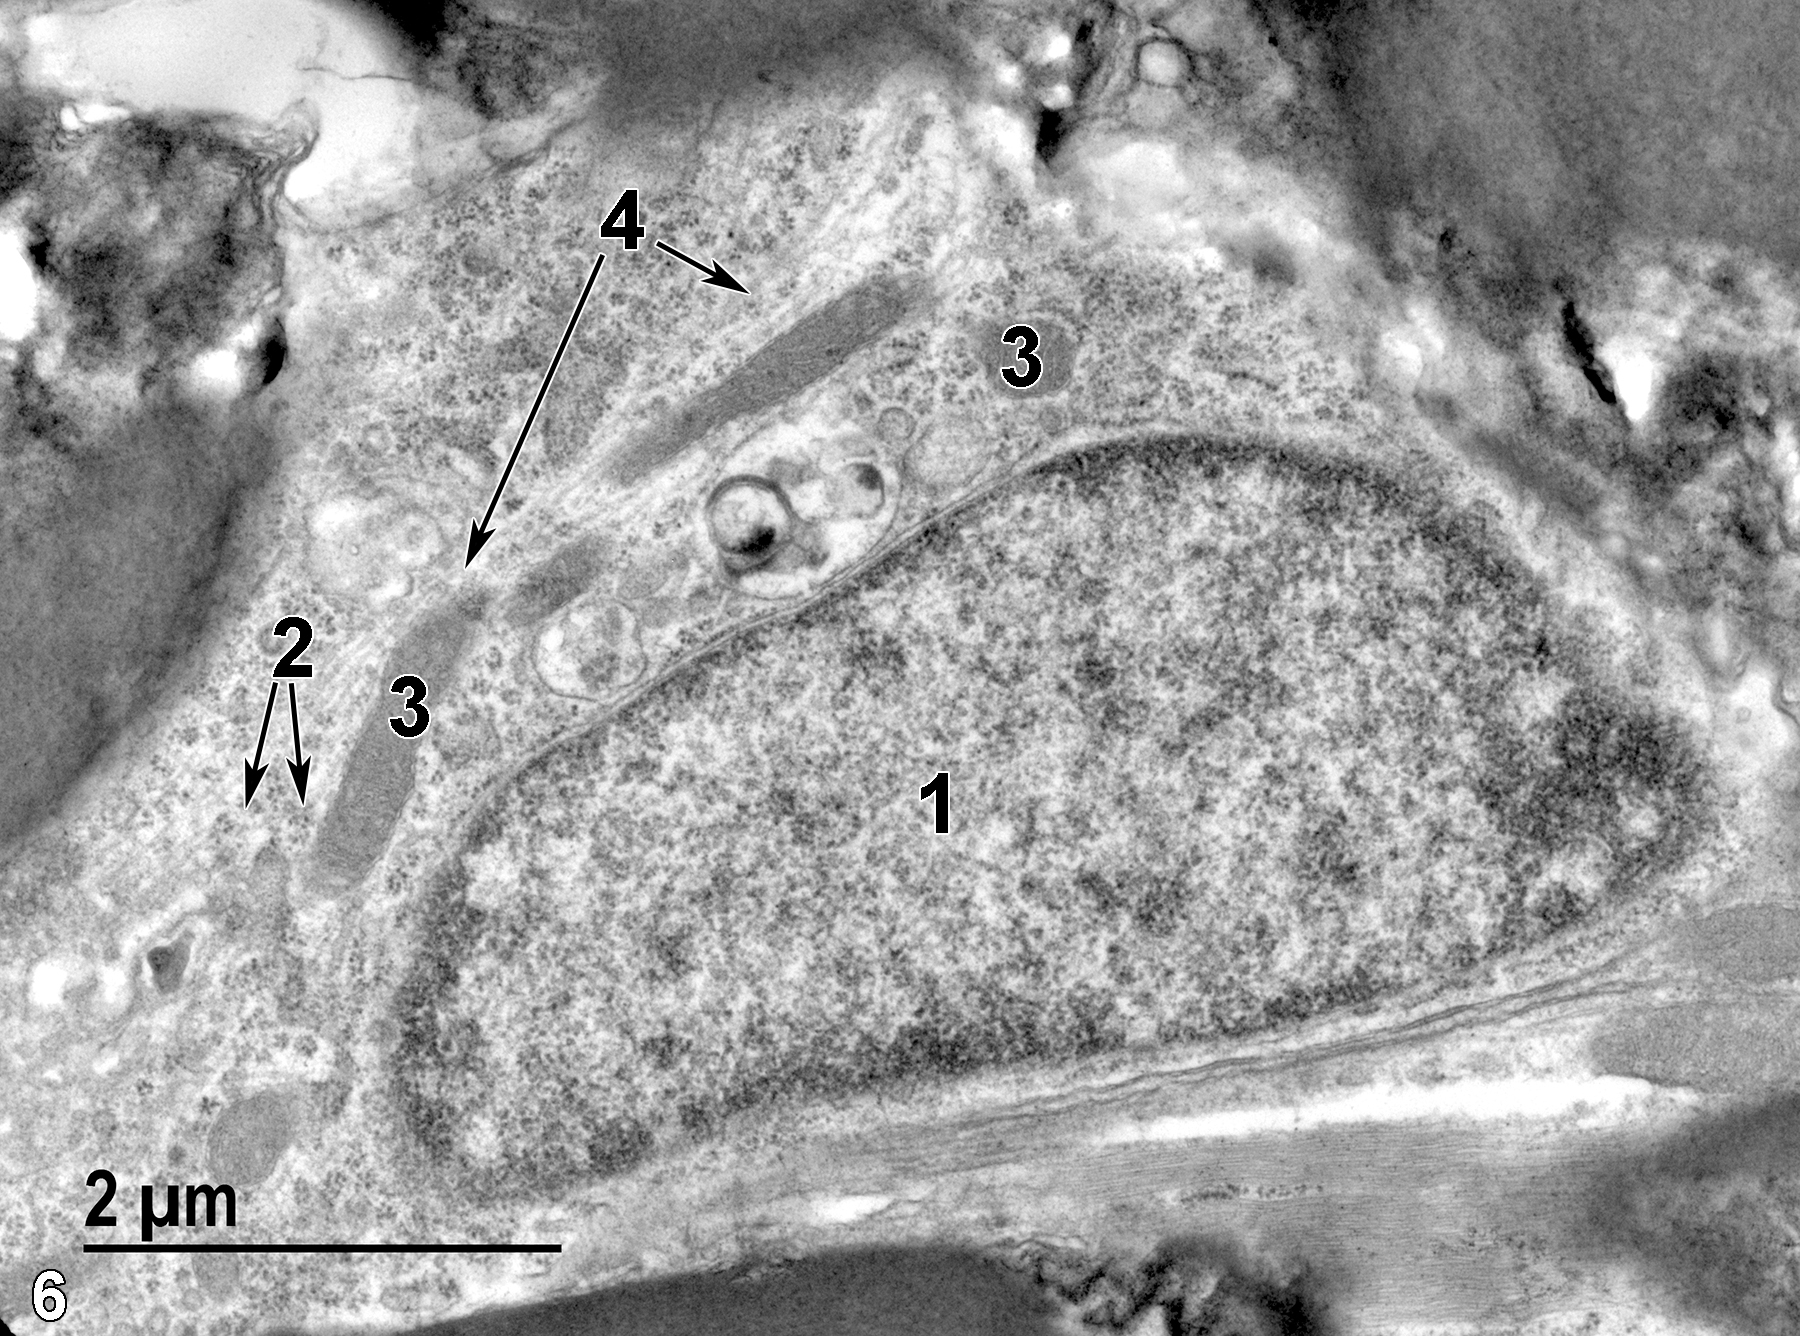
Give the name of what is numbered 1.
1 marks the elongated nucleus.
